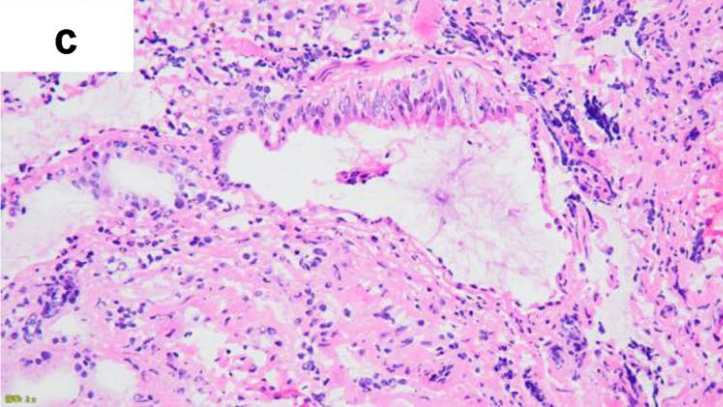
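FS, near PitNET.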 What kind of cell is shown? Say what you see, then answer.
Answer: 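The lining cells have elongated nuclei perpendicular to the surface. Loose stroma with scattered small cells surrounds the space.
Columnar epithelial cells.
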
